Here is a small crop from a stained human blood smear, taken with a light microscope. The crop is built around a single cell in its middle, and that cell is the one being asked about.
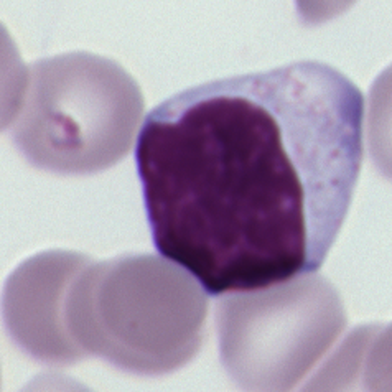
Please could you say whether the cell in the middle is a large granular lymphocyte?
yes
